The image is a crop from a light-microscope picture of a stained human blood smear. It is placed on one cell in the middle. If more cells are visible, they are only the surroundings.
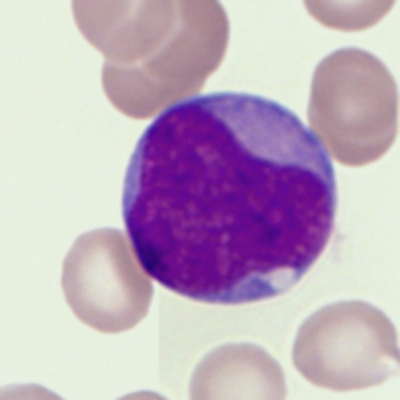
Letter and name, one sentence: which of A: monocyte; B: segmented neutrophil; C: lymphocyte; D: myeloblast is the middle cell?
Option D is the correct selection, for the cell at the centre is a myeloblast.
